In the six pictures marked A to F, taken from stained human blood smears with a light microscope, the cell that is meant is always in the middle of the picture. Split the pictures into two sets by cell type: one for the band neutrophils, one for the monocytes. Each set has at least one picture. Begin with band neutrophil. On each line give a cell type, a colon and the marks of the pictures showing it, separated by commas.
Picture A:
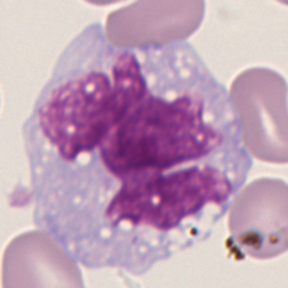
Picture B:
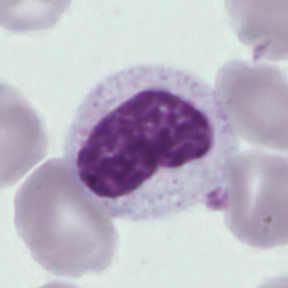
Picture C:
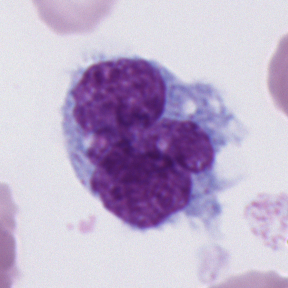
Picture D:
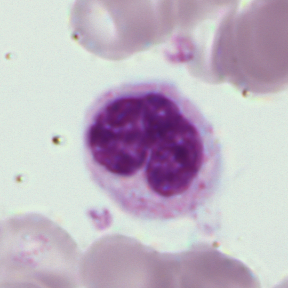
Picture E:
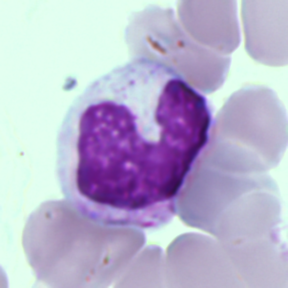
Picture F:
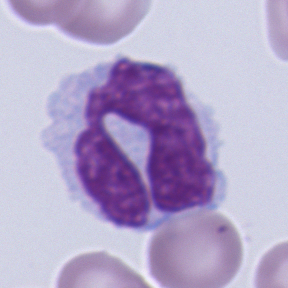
band neutrophil: B, D, E
monocyte: A, C, F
